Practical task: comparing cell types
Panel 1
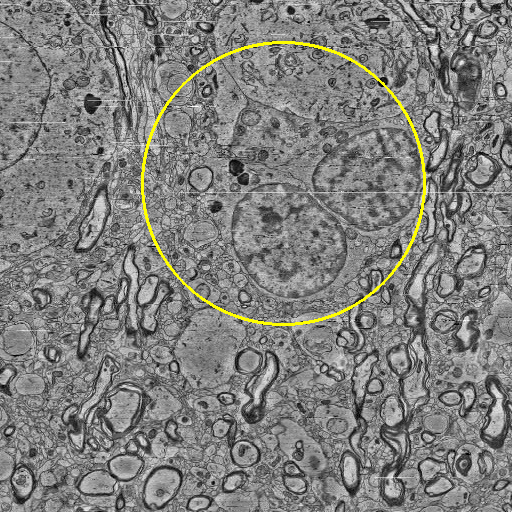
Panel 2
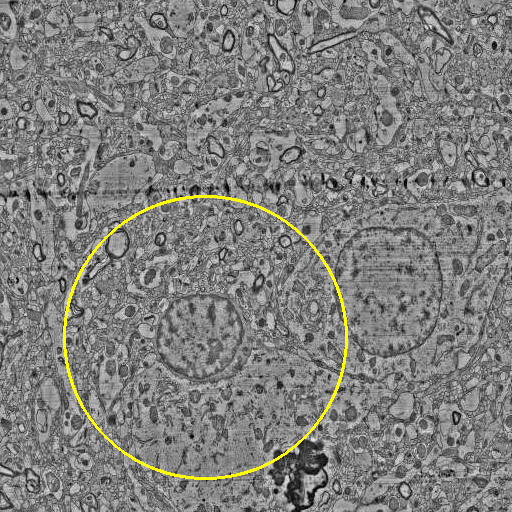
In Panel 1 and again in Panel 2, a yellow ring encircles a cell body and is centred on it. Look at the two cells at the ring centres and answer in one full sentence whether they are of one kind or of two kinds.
The two cells sitting at the ring centres of Panels 1 and 2 are of one kind.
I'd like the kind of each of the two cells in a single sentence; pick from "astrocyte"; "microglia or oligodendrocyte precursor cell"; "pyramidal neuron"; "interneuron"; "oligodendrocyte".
The cell at the ring centre is an oligodendrocyte in both pictures.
